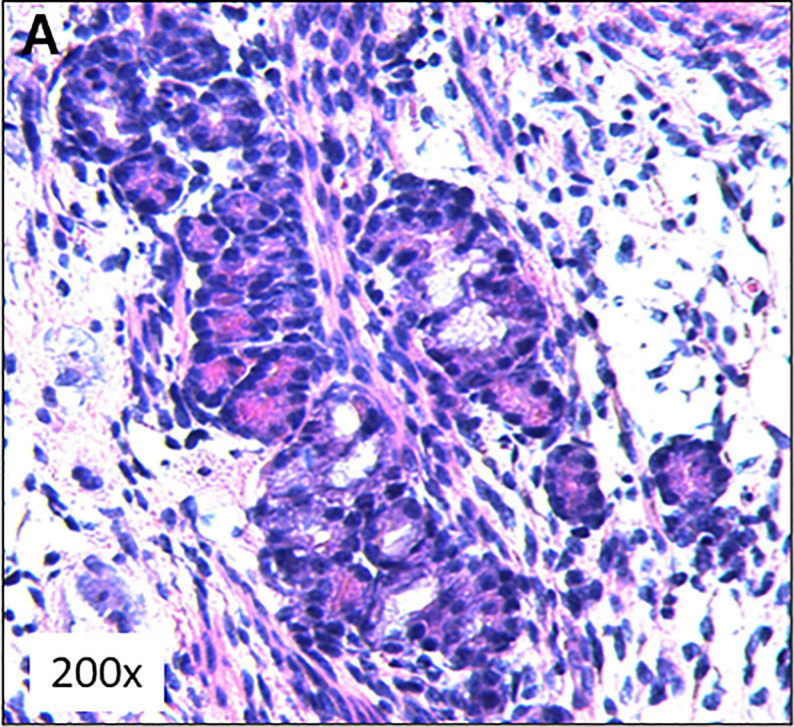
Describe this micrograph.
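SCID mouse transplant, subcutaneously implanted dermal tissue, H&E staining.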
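Many small rudimentary follicle-like structures of epithelial cells lie scattered in loose connective tissue. Between the clusters run strands of pink fibrous tissue with spindle-shaped nuclei.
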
